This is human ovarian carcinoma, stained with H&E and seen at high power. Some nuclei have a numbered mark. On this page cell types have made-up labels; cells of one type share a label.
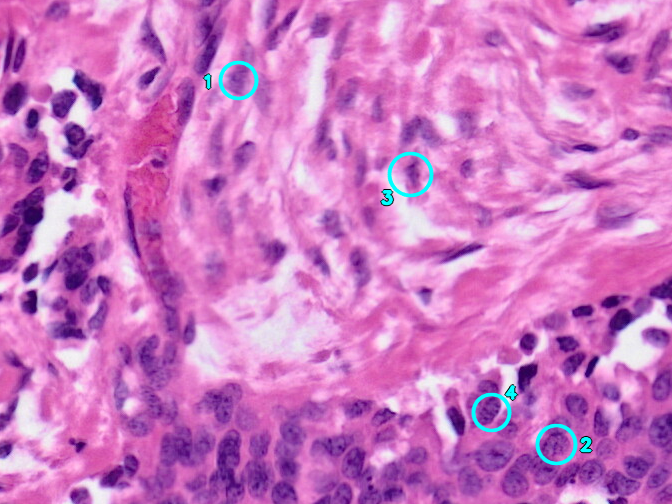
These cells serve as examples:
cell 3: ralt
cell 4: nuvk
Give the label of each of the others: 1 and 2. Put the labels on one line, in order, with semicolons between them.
ralt; nuvk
